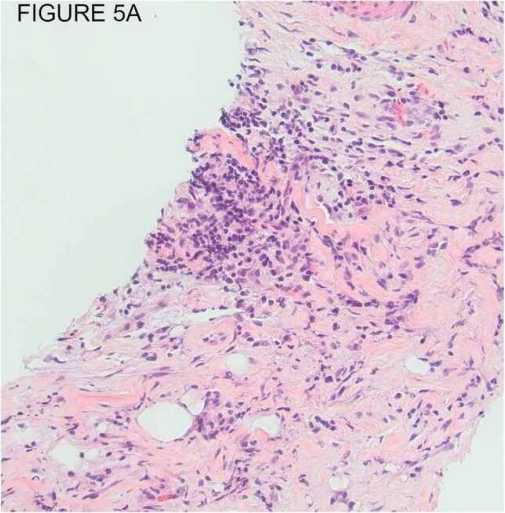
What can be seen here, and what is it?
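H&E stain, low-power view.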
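This is densely fibrotic tissue, dominated by pale pink collagen bundles, with an infiltrate of chronic inflammatory cells. A dense cluster of small cells with round dark nuclei lies along the left edge of the tissue. Similar small cells are scattered more sparsely through the fibrous stroma, which also contains a few clear, fat-like spaces.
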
